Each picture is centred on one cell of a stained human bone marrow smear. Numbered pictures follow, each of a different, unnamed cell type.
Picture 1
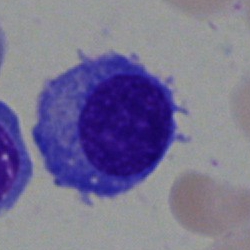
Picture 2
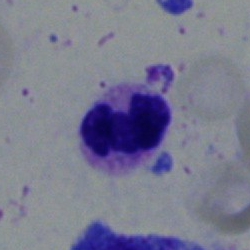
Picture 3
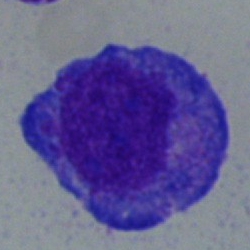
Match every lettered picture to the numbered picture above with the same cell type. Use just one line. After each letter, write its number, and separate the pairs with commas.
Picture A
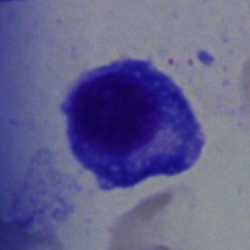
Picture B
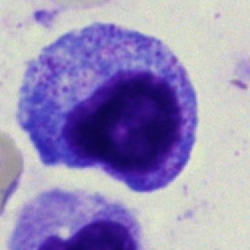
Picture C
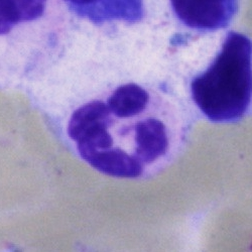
A 1, B 3, C 2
